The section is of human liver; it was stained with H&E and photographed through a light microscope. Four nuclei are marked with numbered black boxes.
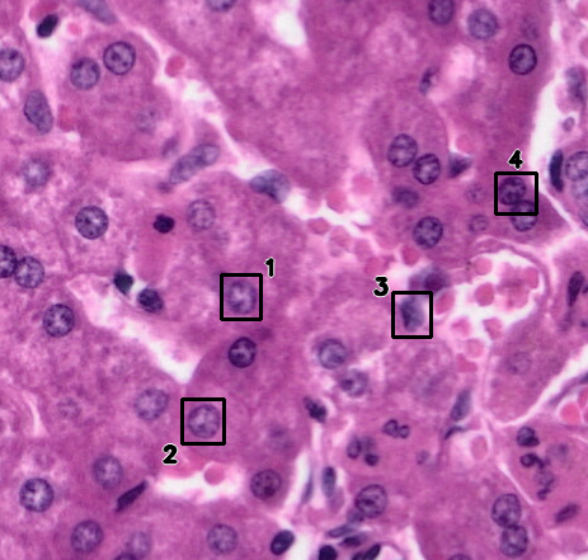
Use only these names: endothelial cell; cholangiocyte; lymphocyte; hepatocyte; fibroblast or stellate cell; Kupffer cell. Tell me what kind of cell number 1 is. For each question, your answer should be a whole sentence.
The mark numbered 1 indicates the nucleus of a hepatocyte.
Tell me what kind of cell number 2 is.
In the tissue shown, cell 2 is a hepatocyte.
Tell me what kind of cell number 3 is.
The one numbered 3 among the marked cells is a fibroblast or stellate cell.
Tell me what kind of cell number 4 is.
The expected answer is that cell 4 is a hepatocyte.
